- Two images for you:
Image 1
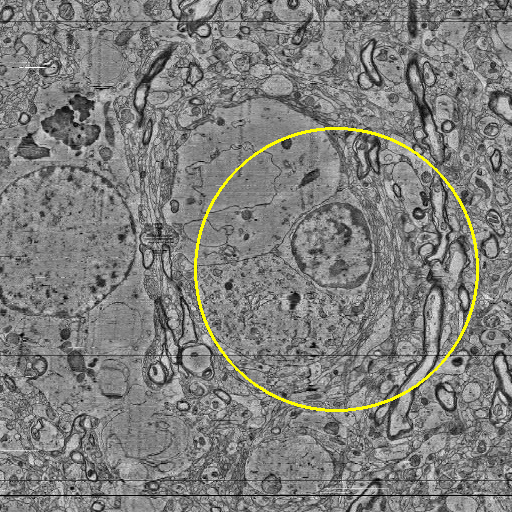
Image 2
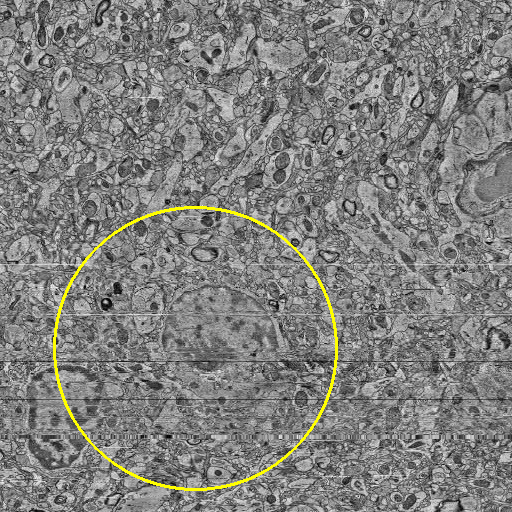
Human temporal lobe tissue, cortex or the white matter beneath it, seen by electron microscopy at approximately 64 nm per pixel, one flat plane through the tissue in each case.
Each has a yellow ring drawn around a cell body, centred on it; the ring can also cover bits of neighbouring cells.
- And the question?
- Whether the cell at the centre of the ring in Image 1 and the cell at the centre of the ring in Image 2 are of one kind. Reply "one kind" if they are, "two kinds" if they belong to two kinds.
two kinds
